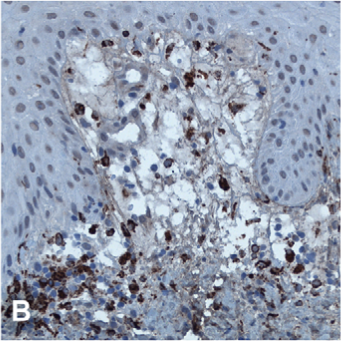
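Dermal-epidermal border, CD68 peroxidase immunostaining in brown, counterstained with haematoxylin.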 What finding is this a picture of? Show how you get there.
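Many clear, empty spaces fill the papilla beneath the epidermis. Squamous epithelium borders the vacuolated area on both sides. On this evidence: Subepidermal vacuolization.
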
